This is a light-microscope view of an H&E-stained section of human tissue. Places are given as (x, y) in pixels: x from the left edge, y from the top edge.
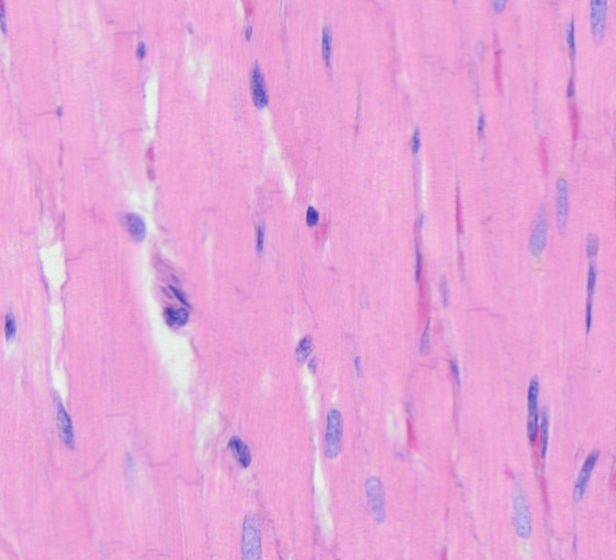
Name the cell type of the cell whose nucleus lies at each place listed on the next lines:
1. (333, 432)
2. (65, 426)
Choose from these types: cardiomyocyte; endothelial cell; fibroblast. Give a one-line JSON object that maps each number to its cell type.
{"1": "cardiomyocyte", "2": "fibroblast"}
